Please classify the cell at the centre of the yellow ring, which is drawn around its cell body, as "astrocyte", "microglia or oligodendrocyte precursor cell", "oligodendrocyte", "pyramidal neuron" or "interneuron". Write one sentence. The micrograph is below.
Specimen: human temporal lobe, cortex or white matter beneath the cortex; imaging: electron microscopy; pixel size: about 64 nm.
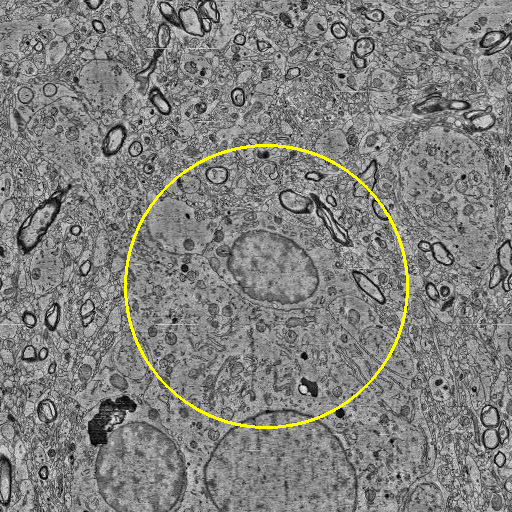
The cell at the ring's centre is classified as an oligodendrocyte.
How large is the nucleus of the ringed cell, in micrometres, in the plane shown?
About 6 by 4 micrometers, in this plane.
